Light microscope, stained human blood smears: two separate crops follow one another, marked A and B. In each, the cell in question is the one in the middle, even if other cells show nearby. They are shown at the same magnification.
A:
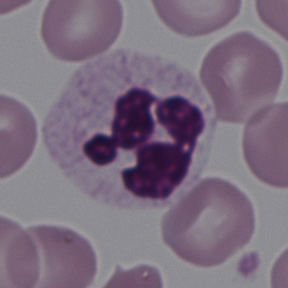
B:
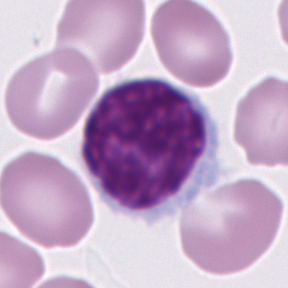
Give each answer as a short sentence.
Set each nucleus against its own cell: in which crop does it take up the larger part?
In crop B the nucleus takes up the larger part of its cell.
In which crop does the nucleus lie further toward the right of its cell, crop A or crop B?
In crop A the nucleus is shifted more toward the right.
